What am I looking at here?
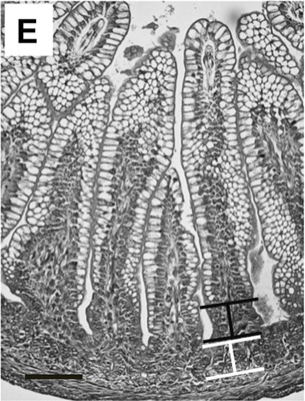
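This section of small intestine shows tall villi whose lining enterocytes are packed with large clear supranuclear vacuoles, giving the upper villus epithelium a foamy, honeycomb look. Only a short stretch near the villus base has dense cytoplasm without vacuoles, and below that lies a compact, densely cellular crypt region above the muscle layer.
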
